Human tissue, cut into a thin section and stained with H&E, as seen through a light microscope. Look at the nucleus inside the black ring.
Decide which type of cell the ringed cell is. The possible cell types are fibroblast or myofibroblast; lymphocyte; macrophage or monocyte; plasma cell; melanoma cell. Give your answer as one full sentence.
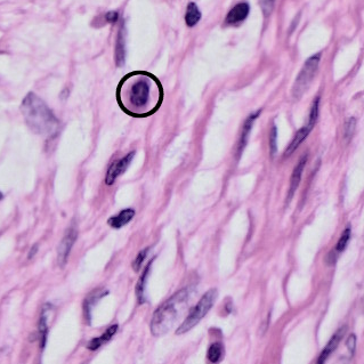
Cell type answer for this item: the ringed cell is a plasma cell.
